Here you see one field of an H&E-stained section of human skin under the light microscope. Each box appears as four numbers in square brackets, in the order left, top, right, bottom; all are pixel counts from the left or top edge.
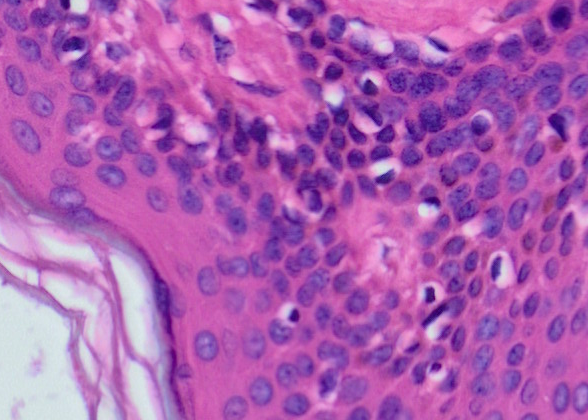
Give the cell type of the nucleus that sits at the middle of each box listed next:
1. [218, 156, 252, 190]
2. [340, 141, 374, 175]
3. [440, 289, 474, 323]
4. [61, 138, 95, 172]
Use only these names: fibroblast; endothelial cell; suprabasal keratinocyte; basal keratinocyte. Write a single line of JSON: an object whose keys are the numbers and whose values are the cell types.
{"1": "basal keratinocyte", "2": "basal keratinocyte", "3": "basal keratinocyte", "4": "suprabasal keratinocyte"}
